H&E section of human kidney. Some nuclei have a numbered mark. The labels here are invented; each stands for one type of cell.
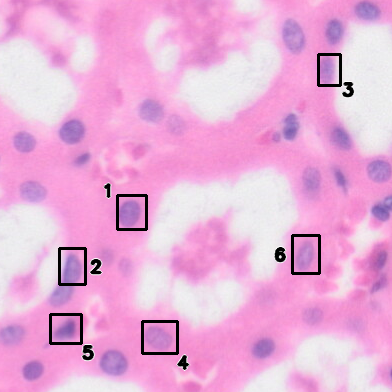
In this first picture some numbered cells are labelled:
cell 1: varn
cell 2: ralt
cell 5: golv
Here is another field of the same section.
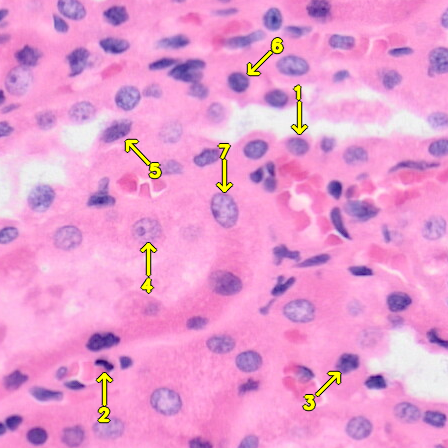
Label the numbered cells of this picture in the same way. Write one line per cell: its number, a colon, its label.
1: ralt
2: golv
3: ralt
4: varn
5: ralt
6: ralt
7: varn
